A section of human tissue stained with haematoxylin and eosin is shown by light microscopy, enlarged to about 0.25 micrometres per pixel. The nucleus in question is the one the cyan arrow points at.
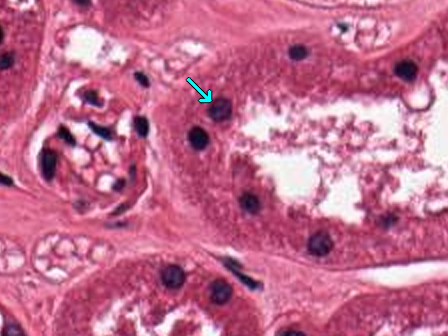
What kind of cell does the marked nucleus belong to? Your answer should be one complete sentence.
The marked nucleus forms part of a proximal tubule cell.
